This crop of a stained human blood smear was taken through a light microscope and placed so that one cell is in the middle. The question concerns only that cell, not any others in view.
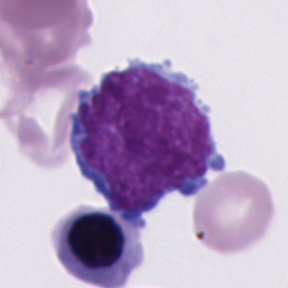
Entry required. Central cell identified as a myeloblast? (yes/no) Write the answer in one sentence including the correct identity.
Yes, the cell placed centrally within the crop is a myeloblast.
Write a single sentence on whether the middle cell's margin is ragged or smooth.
The cell outline lacks smoothness, being ragged or extended into projections.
